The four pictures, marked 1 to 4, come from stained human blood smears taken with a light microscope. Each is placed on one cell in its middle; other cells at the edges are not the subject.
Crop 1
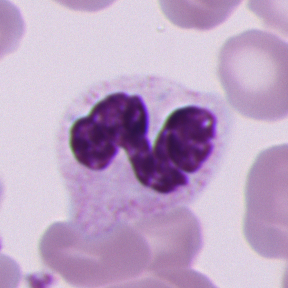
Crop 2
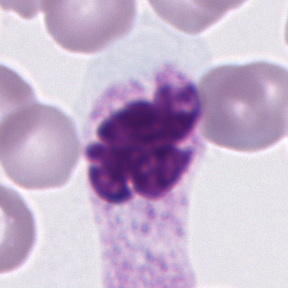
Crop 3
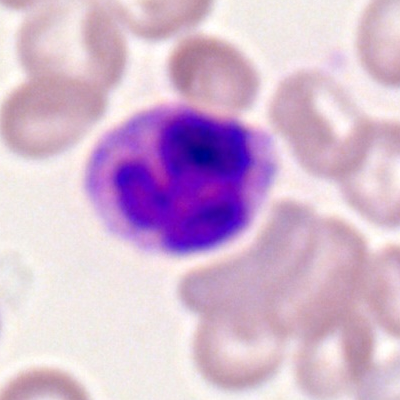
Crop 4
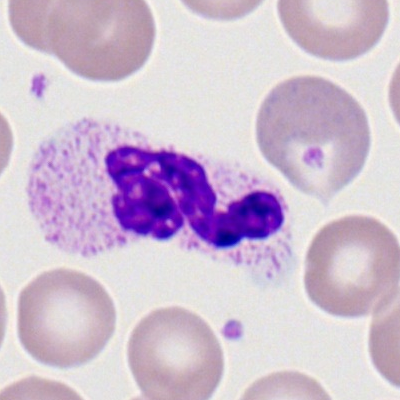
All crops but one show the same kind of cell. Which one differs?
3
